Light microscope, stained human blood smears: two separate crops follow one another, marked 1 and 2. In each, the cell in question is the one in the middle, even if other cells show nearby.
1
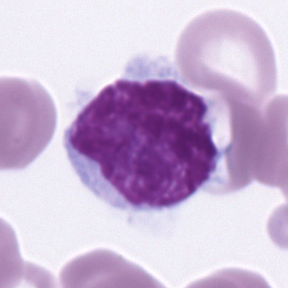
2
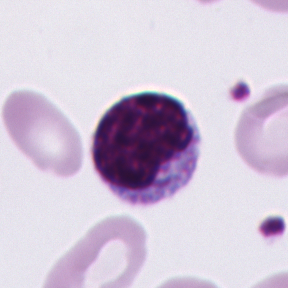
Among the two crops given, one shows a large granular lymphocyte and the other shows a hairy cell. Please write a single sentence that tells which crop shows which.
Crop 1 is a hairy cell, whilst crop 2 is a large granular lymphocyte.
